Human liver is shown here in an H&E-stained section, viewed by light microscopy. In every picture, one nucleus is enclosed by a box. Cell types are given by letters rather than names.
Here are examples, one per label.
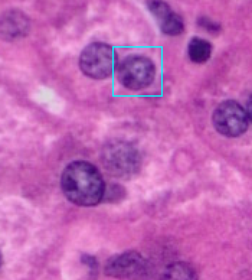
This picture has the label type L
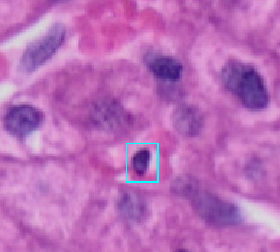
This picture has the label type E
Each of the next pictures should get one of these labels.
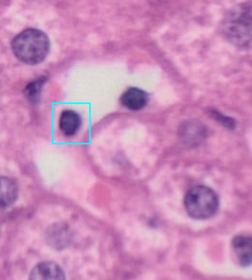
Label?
type E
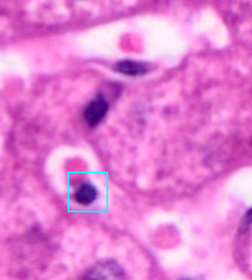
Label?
type E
